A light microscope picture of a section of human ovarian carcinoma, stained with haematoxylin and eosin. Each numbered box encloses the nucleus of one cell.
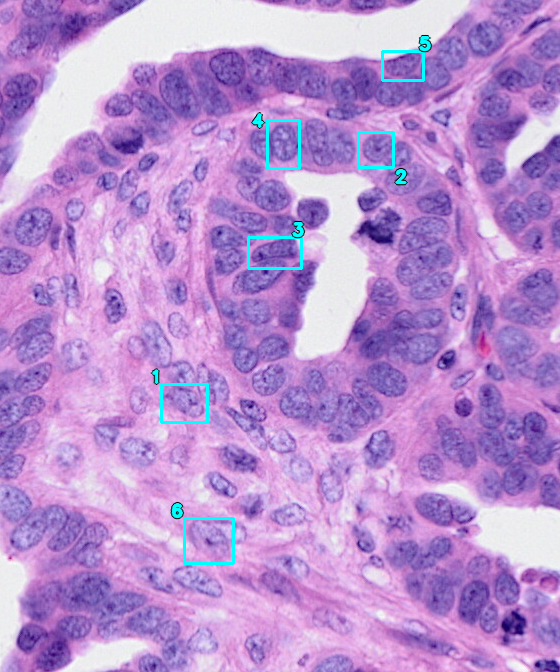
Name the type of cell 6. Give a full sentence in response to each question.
The cell indicated with the number 6 is classed as a fibroblast.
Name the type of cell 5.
The cell given label 5 is a carcinoma cell.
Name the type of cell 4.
The cell pointed out as number 4 is a carcinoma cell.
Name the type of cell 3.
The cell that bears the number 3 is a carcinoma cell.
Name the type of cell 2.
That cell with number 2 is a carcinoma cell.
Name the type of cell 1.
In this section, the cell tagged 1 is a fibroblast.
